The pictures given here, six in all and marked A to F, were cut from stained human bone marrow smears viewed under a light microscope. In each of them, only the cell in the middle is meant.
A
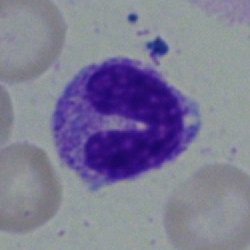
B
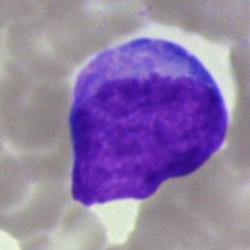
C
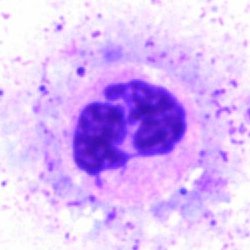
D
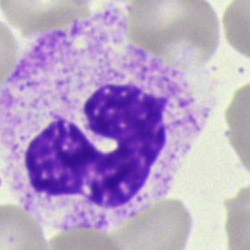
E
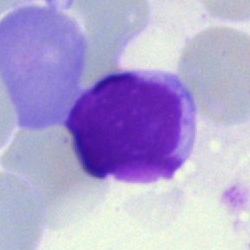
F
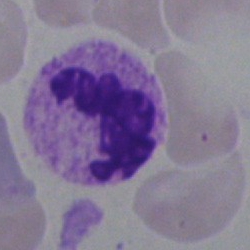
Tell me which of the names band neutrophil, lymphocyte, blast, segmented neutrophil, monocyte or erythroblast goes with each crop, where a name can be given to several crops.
A: band neutrophil
B: blast
C: segmented neutrophil
D: band neutrophil
E: lymphocyte
F: segmented neutrophil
